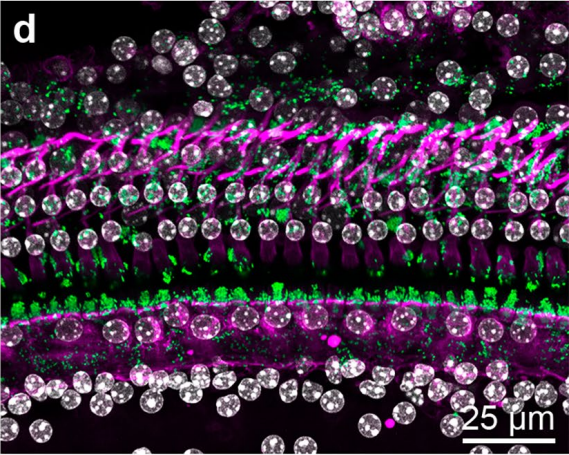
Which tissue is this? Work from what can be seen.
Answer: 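Organ of Corti. Nuclei are arranged in regular parallel rows. Three orderly rows of evenly spaced cells lie above a single separate row.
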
